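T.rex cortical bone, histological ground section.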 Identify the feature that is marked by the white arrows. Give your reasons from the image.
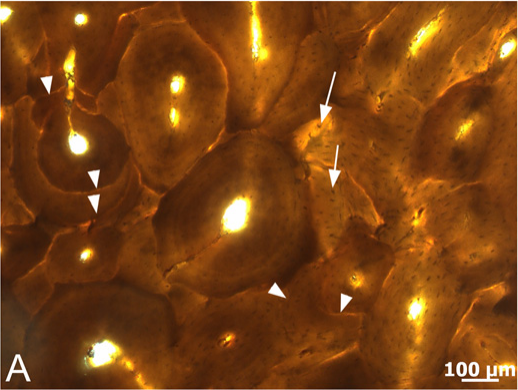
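Osteocyte lacunae. Many small dark elongated spots are scattered through the amber bone matrix.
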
